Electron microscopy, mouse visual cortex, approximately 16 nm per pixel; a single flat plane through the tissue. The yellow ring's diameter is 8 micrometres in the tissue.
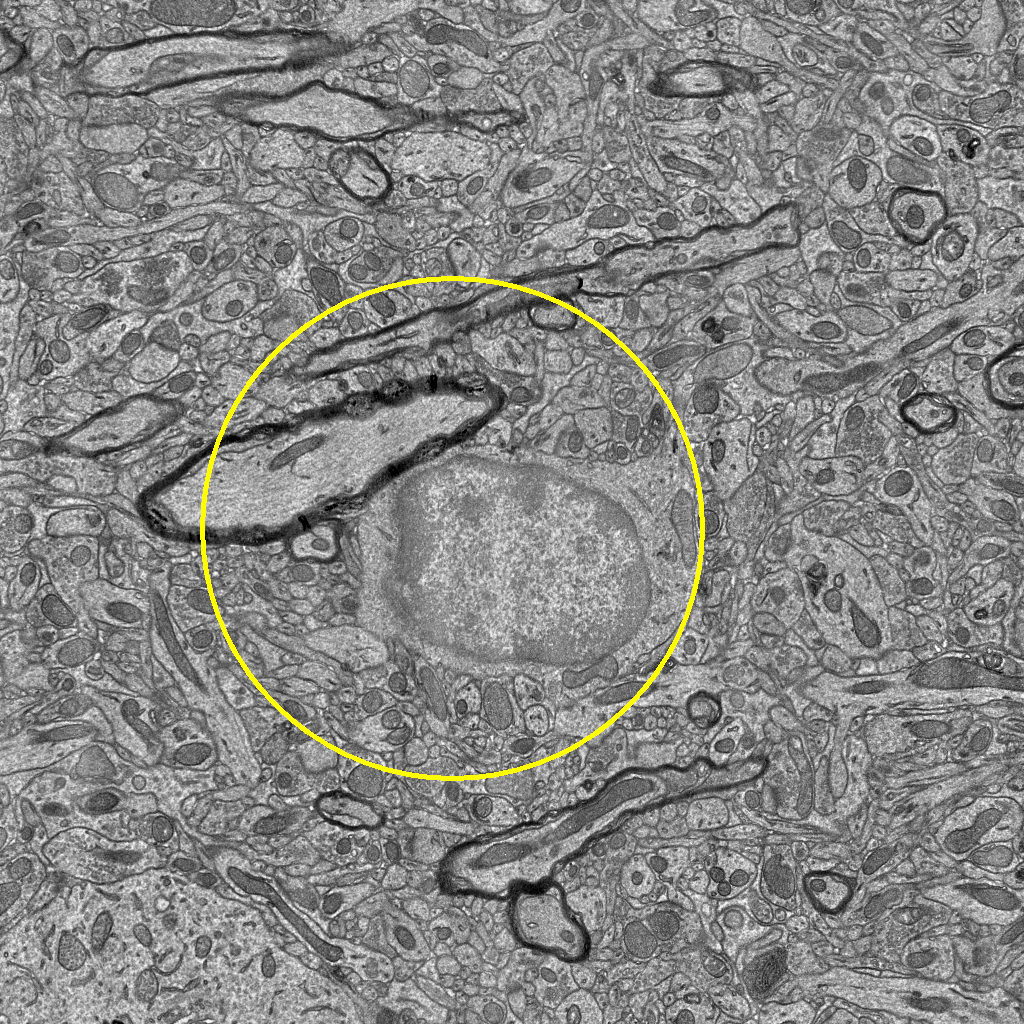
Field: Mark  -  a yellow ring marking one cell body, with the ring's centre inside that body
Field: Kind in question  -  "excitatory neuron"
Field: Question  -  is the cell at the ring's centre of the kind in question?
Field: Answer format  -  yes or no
no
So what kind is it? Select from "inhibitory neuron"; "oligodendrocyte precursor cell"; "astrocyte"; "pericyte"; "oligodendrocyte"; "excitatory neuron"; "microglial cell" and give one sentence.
The ring's central cell is an oligodendrocyte instead.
